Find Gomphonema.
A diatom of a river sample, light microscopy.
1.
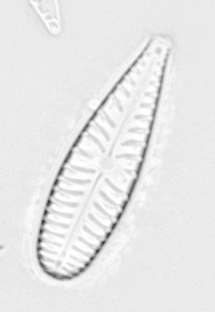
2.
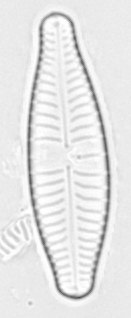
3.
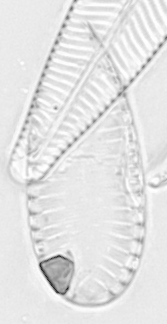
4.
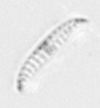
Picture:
2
